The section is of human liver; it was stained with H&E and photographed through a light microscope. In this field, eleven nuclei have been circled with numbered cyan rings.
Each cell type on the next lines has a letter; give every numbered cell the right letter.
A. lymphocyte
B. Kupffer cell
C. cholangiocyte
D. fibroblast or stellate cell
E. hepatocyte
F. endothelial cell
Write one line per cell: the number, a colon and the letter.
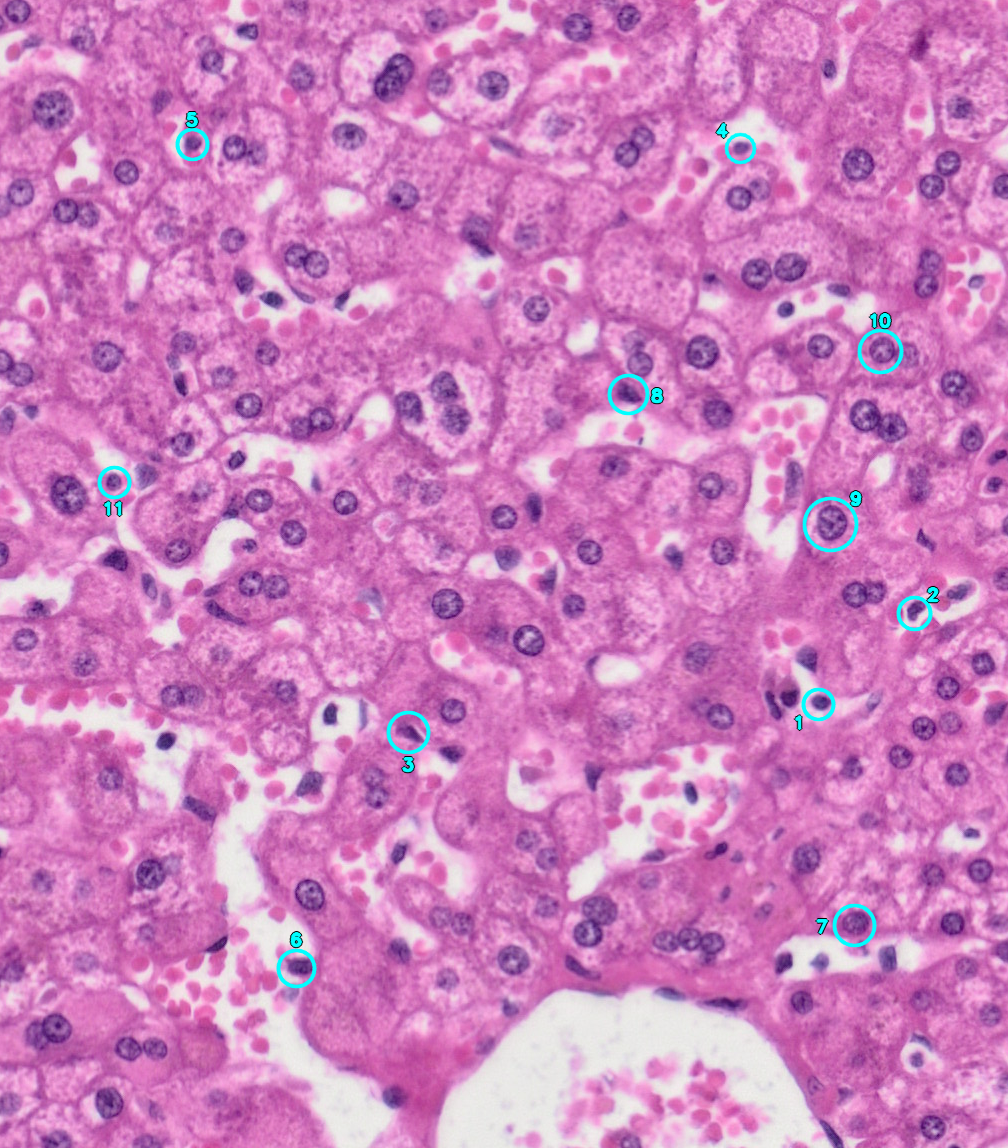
1: A
2: A
3: D
4: A
5: A
6: B
7: E
8: D
9: E
10: E
11: A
